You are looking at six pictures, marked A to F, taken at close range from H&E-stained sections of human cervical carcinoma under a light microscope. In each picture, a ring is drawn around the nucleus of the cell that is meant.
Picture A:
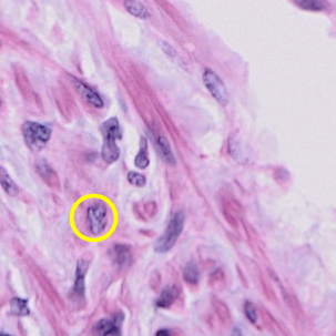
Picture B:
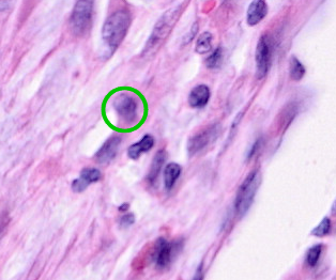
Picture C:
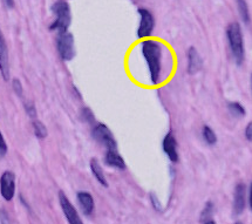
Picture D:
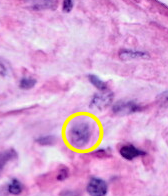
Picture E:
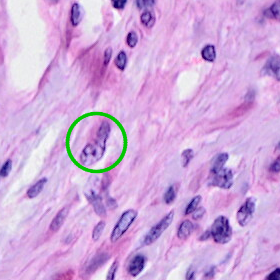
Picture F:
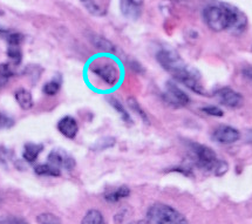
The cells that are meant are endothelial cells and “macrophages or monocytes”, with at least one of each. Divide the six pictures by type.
A: endothelial cell
B: macrophage or monocyte
C: endothelial cell
D: macrophage or monocyte
E: macrophage or monocyte
F: endothelial cell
